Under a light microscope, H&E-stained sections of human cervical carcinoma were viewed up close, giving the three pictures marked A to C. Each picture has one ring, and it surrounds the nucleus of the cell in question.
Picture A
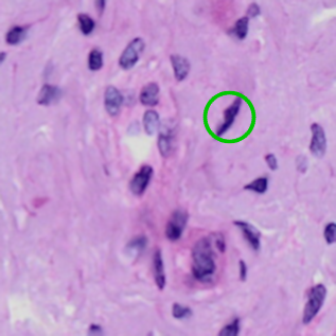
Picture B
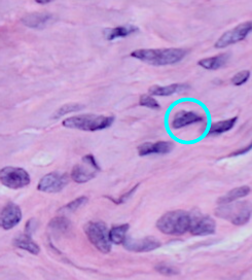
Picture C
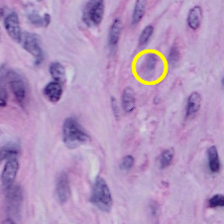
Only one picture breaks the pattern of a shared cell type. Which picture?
C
